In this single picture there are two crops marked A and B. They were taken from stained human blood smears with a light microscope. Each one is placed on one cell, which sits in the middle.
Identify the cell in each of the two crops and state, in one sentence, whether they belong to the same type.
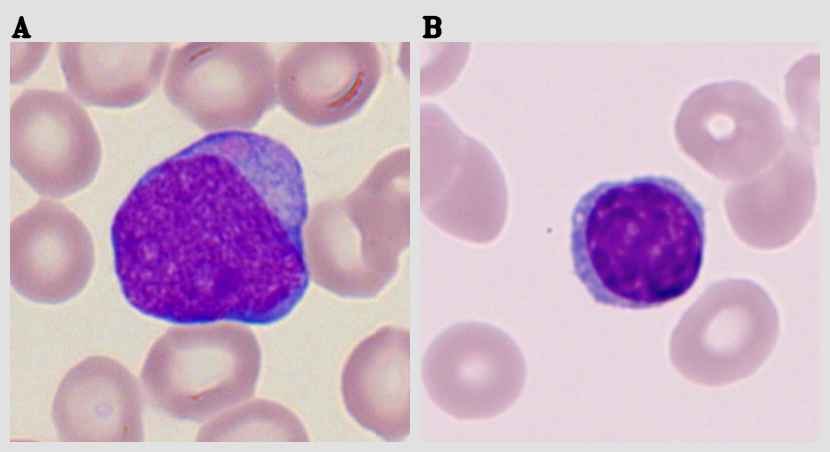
No, the cell centred in crop B is a lymphocyte; crop A centres on a blast.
